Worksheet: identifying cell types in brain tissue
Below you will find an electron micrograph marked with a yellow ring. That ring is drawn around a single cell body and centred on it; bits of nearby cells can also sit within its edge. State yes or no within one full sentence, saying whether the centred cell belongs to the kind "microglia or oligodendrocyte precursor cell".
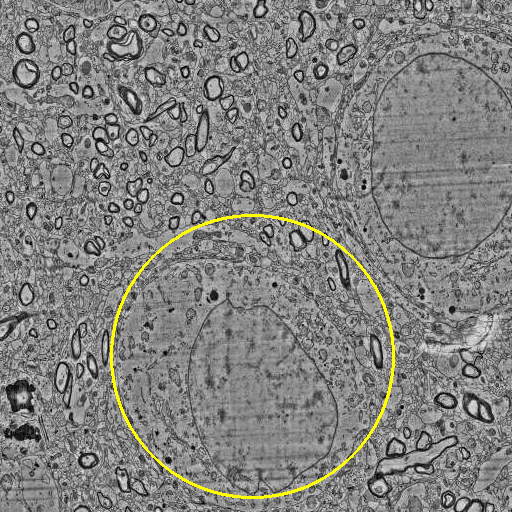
No, the cell sitting at the centre of the yellow ring in this picture is of another kind.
